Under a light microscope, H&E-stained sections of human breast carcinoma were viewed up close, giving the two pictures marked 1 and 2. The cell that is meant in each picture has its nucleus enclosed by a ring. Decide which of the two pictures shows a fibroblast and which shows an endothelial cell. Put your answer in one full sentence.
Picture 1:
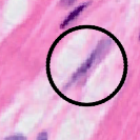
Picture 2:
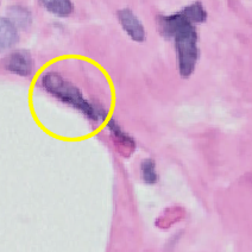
Picture 1 shows a fibroblast and picture 2 shows an endothelial cell.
